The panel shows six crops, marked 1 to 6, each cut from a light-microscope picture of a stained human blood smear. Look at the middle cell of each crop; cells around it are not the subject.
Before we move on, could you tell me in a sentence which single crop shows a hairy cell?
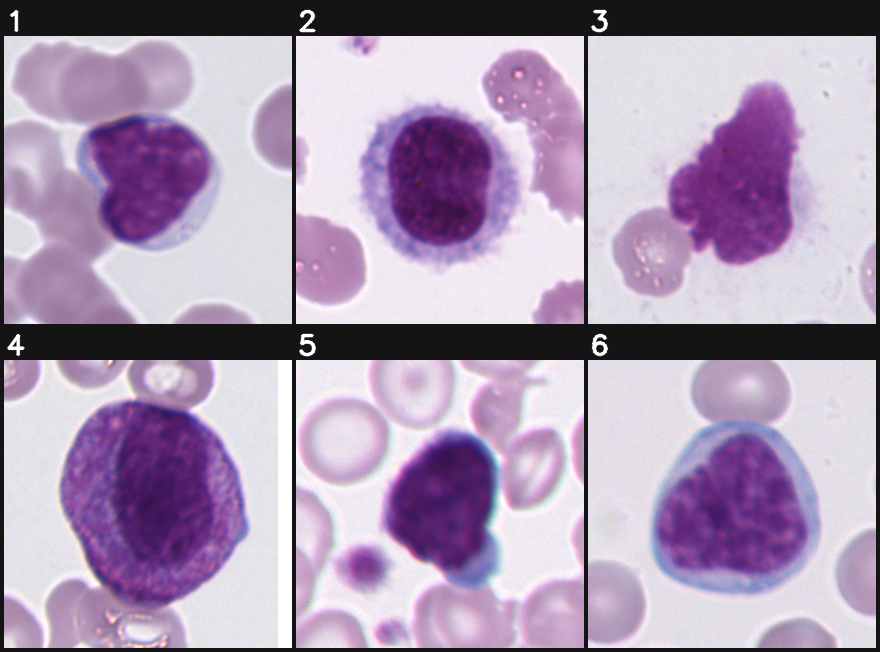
Selected crop: 2, which is the one that shows a hairy cell.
